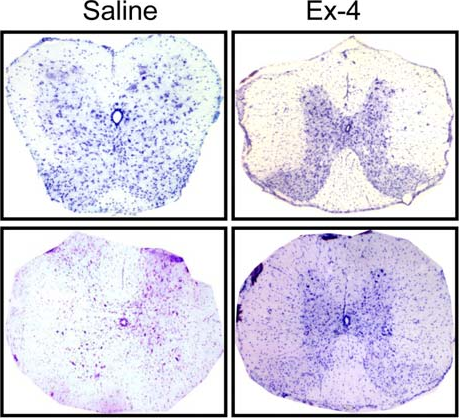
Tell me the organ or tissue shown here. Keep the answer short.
Spinal cord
